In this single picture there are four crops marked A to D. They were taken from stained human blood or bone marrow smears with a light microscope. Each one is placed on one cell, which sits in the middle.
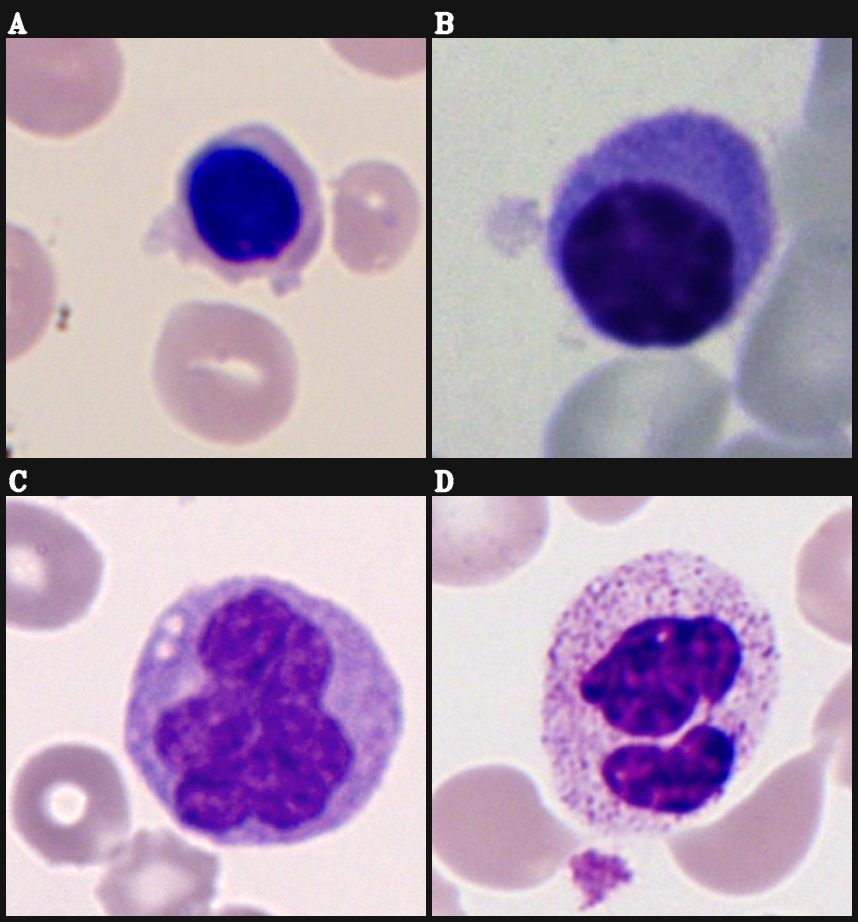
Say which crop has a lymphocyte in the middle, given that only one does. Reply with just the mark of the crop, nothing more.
B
